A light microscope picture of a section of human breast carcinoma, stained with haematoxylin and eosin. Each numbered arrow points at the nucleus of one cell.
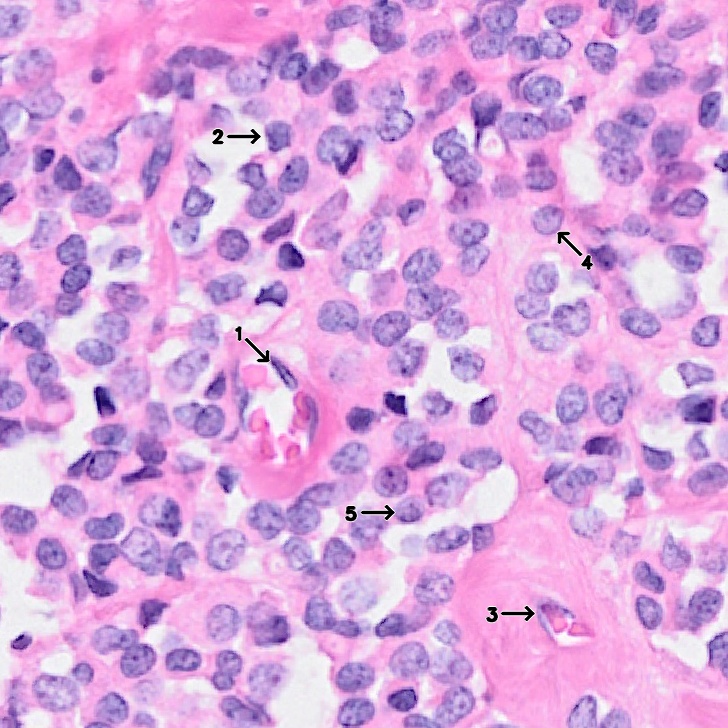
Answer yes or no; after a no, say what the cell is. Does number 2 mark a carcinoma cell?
Yes.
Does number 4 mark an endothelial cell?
No, it is a carcinoma cell.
